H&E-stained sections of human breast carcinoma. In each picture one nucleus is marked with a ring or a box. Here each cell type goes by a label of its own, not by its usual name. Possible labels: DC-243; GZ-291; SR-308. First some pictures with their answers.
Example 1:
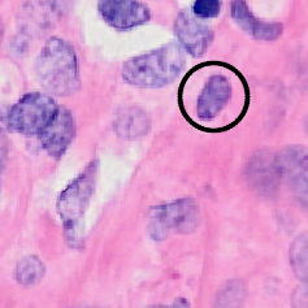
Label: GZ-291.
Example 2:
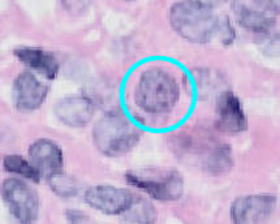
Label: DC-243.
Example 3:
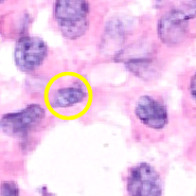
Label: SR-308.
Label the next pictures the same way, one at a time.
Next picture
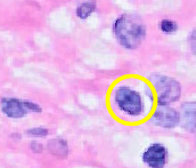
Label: GZ-291.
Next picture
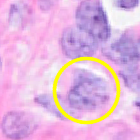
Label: DC-243.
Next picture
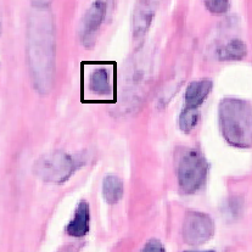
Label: GZ-291.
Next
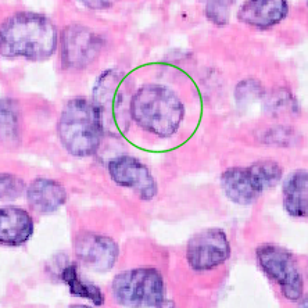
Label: DC-243.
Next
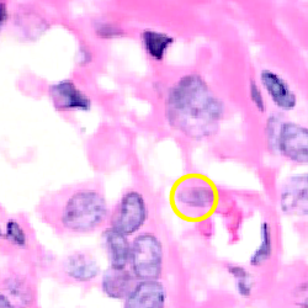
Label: SR-308.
